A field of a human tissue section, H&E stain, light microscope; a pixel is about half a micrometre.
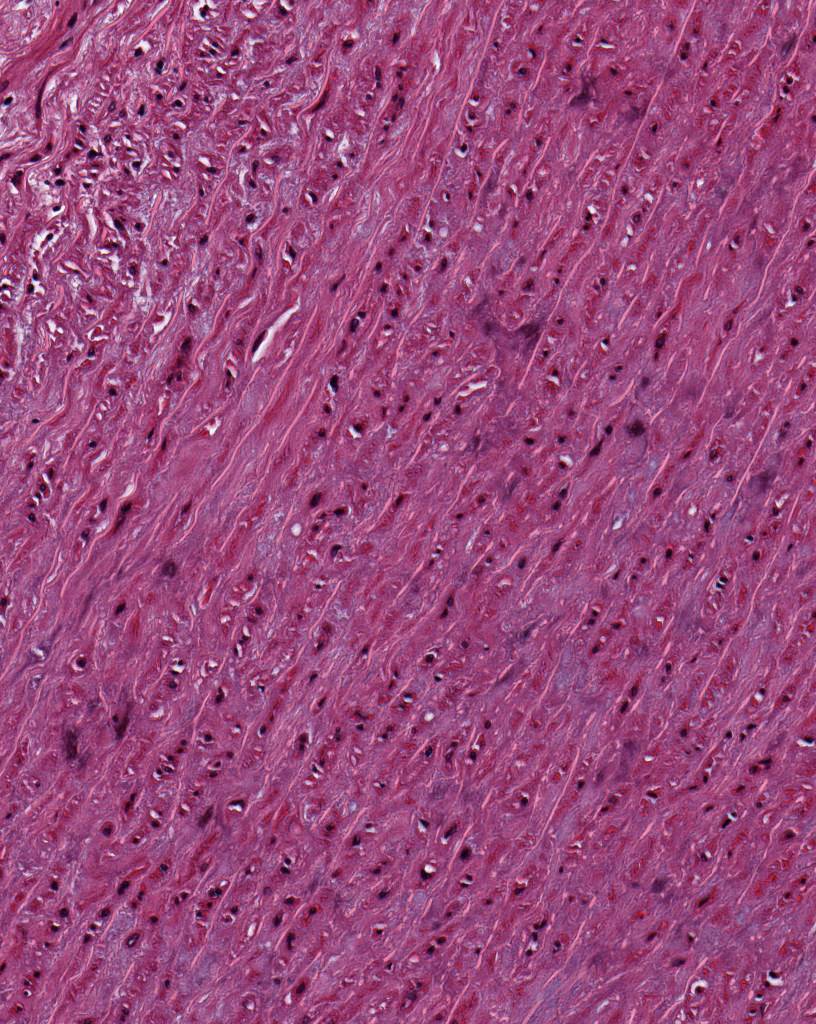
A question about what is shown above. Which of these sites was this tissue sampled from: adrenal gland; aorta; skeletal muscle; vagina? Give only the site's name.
aorta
